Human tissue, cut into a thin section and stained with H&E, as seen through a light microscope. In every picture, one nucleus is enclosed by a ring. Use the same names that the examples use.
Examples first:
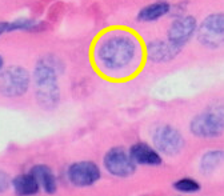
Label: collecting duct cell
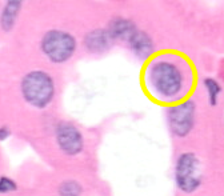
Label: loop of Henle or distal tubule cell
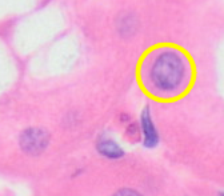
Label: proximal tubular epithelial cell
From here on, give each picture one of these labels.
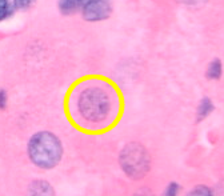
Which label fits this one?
proximal tubular epithelial cell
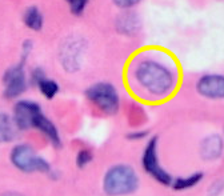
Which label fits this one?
loop of Henle or distal tubule cell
